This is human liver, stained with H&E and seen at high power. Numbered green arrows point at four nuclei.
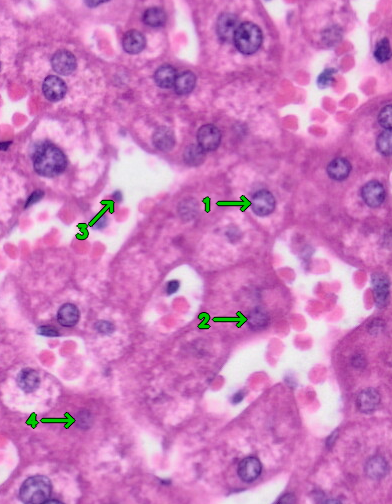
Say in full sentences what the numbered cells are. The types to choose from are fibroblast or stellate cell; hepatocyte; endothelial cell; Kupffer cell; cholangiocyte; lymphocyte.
Cells 1, 2 and 4 are hepatocytes. Cell 3 is a lymphocyte.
